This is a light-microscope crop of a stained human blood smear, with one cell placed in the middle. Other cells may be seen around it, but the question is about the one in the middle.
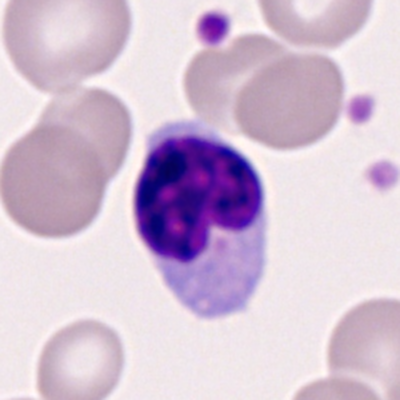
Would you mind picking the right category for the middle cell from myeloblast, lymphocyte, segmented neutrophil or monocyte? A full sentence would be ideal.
The crop shows a lymphocyte in its centre.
